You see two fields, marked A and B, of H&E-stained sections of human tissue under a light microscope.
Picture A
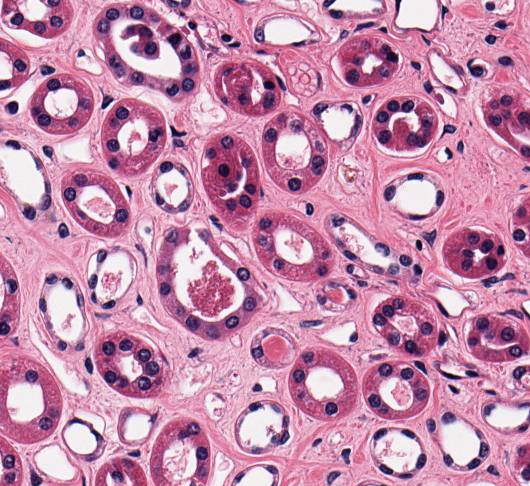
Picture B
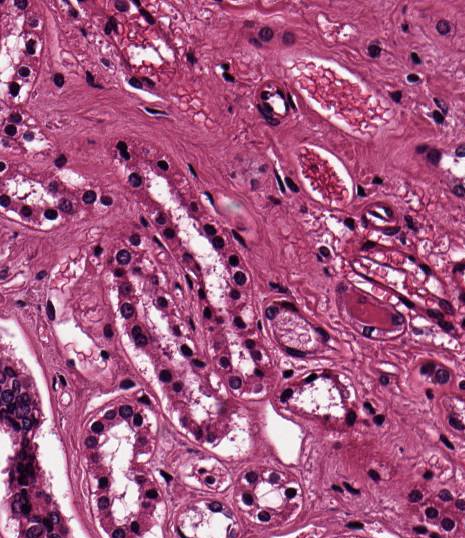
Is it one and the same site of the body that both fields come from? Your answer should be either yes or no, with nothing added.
yes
